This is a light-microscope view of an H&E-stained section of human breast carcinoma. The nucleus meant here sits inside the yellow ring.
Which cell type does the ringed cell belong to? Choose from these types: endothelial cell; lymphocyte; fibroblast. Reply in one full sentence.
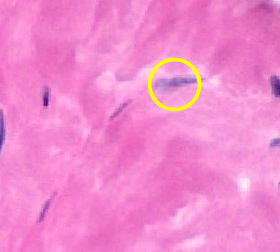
It is as a fibroblast that the ringed cell is classified.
